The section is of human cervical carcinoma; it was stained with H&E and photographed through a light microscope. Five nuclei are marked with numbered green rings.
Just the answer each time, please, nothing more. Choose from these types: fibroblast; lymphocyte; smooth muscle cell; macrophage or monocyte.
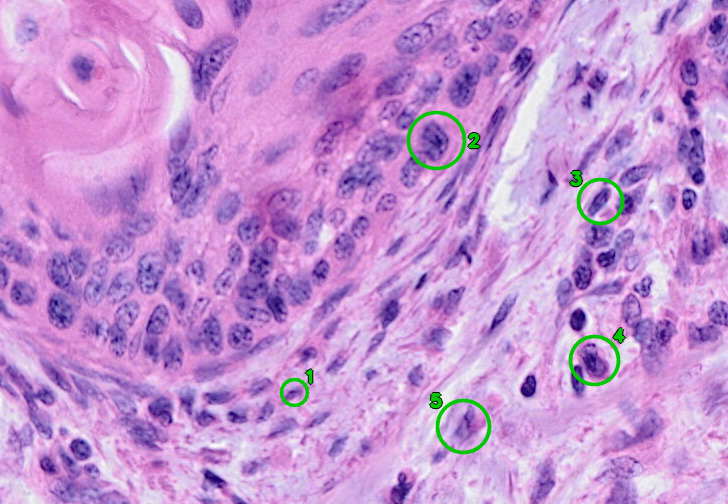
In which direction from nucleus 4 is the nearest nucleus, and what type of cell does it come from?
a lymphocyte; below and to the left of nucleus 4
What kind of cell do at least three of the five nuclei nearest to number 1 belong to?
fibroblast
